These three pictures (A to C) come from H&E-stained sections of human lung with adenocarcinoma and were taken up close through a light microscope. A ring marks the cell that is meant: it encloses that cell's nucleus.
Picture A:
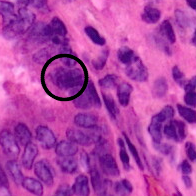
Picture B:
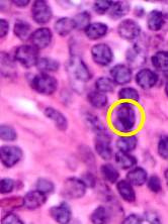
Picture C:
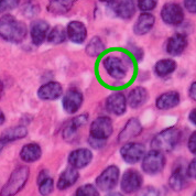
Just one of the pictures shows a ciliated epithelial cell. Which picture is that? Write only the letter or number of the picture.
A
